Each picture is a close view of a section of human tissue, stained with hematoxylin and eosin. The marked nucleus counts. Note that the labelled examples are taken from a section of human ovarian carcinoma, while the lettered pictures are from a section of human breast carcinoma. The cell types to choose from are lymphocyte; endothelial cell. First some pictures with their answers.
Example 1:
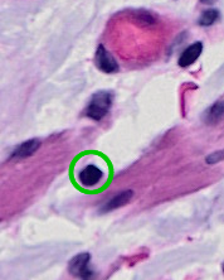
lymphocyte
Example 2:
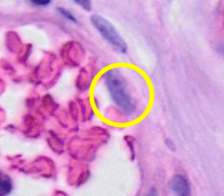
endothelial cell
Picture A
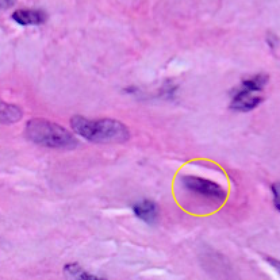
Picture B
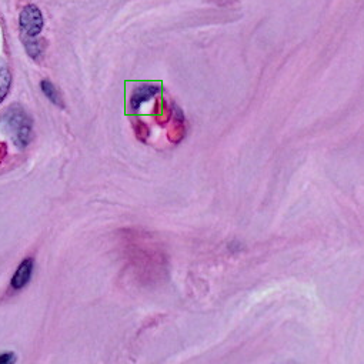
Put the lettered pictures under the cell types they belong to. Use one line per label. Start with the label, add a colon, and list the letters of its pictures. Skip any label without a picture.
endothelial cell: A, B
